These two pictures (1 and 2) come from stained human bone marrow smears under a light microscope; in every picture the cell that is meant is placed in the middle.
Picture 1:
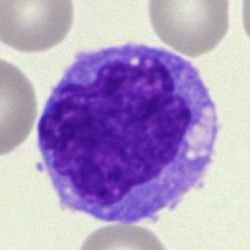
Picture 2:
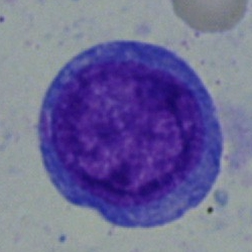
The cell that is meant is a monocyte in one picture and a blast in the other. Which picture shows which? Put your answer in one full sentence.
Picture 1 shows a monocyte and picture 2 shows a blast.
